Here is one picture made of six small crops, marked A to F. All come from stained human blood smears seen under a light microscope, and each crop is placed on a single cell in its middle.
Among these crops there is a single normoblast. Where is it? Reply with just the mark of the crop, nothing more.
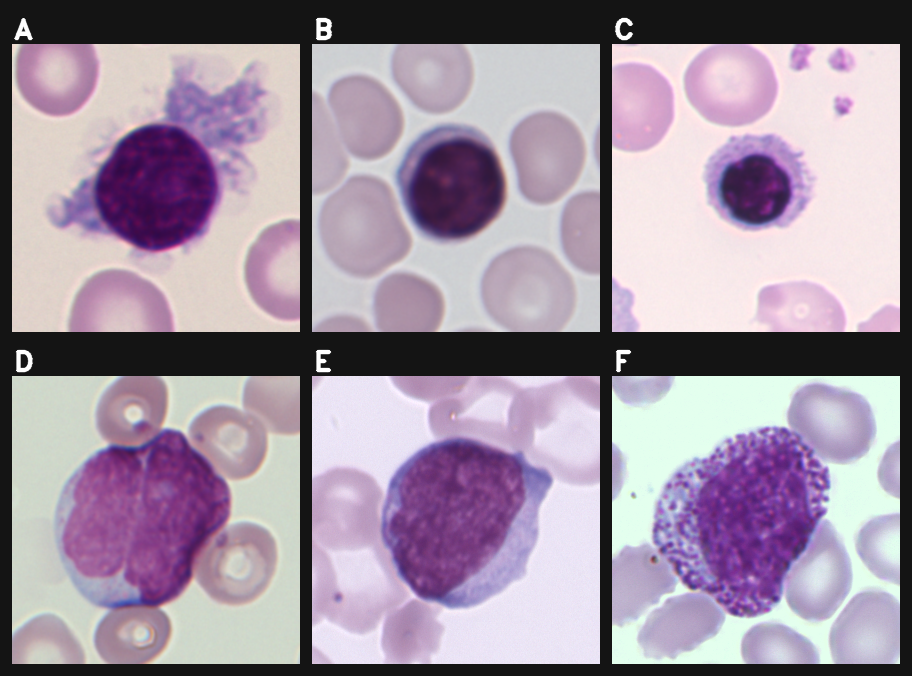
C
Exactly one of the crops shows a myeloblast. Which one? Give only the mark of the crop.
E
